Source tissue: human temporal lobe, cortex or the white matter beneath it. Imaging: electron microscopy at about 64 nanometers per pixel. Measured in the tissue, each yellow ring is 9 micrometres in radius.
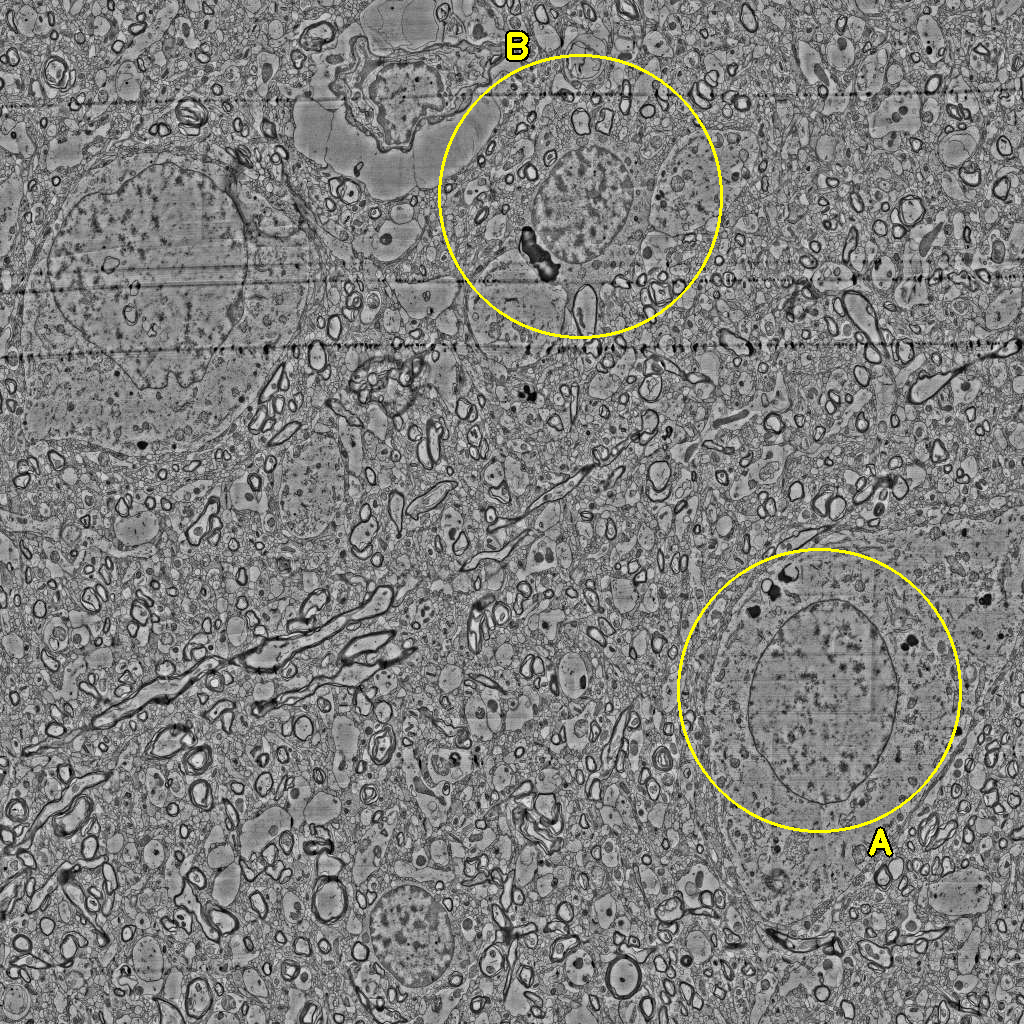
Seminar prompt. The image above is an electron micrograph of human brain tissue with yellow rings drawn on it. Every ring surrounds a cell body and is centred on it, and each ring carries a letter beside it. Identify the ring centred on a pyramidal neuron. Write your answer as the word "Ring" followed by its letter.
Ring A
